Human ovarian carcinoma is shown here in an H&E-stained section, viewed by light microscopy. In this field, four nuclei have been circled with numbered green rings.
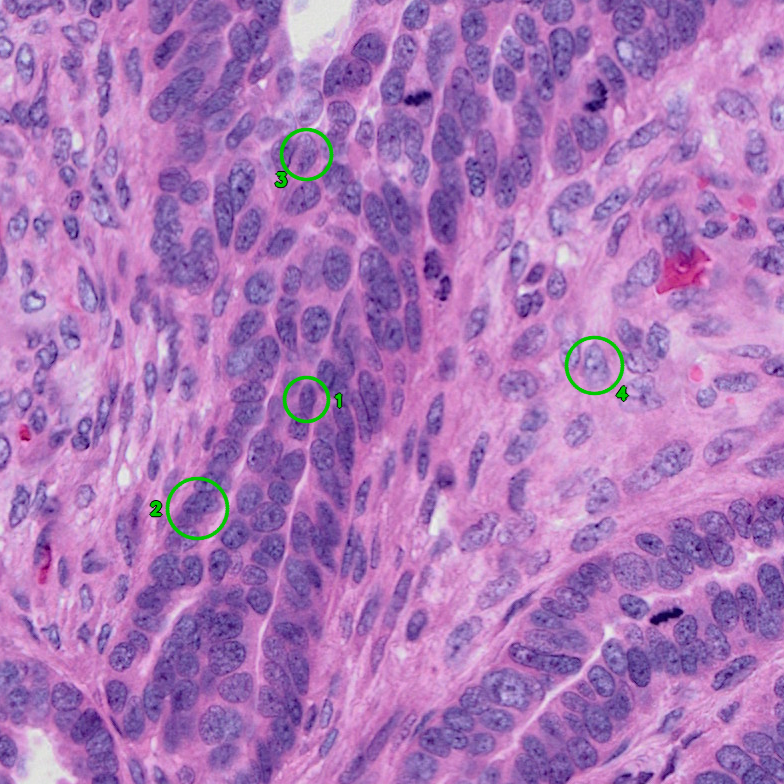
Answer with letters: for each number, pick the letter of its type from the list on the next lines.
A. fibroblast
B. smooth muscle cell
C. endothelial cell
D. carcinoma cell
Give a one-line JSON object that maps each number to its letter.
{"1": "D", "2": "D", "3": "D", "4": "A"}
